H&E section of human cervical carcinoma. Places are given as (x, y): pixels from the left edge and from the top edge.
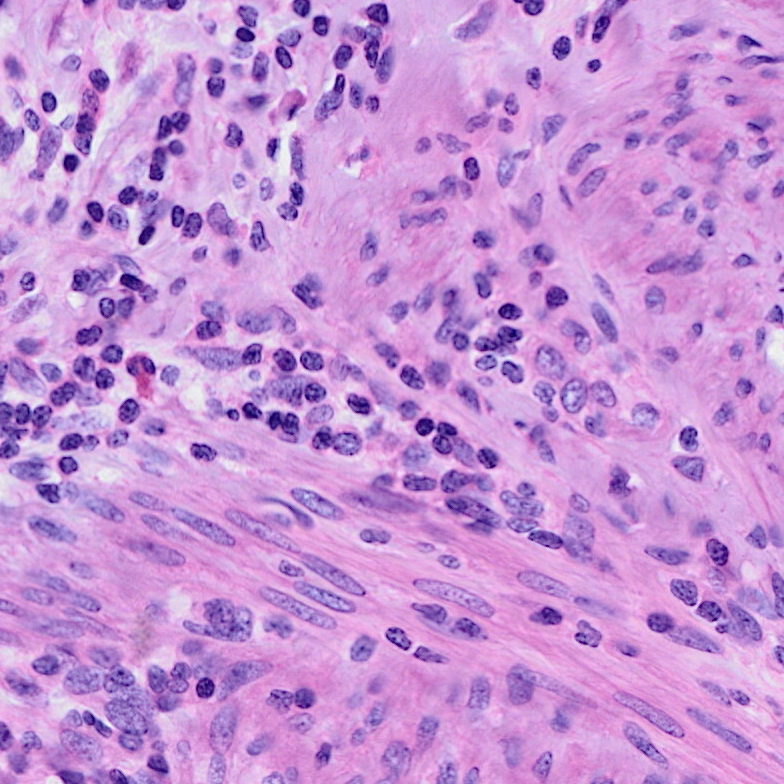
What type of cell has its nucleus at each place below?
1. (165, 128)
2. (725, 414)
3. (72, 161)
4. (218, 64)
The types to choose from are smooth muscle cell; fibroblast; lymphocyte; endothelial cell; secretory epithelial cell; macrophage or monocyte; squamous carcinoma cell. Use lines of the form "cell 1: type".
cell 1: lymphocyte
cell 2: smooth muscle cell
cell 3: lymphocyte
cell 4: lymphocyte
